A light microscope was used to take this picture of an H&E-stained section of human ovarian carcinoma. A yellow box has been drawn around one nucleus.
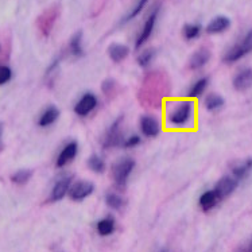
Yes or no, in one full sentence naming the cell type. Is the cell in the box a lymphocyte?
Yes, with respect to cell type, the cell in the box is a lymphocyte.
